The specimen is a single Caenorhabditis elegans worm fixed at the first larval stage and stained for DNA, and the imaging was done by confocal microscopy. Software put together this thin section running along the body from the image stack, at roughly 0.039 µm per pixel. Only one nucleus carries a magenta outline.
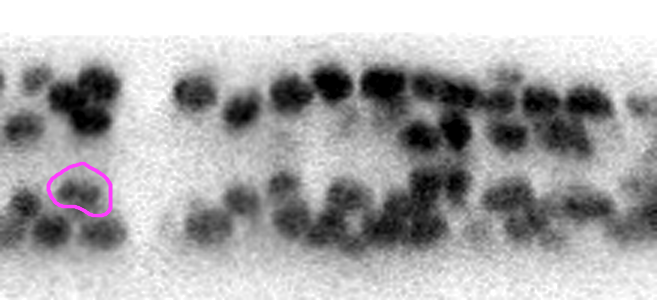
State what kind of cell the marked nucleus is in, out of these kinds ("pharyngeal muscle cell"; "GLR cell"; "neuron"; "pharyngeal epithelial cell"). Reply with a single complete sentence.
What is marked is the nucleus of a GLR cell.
